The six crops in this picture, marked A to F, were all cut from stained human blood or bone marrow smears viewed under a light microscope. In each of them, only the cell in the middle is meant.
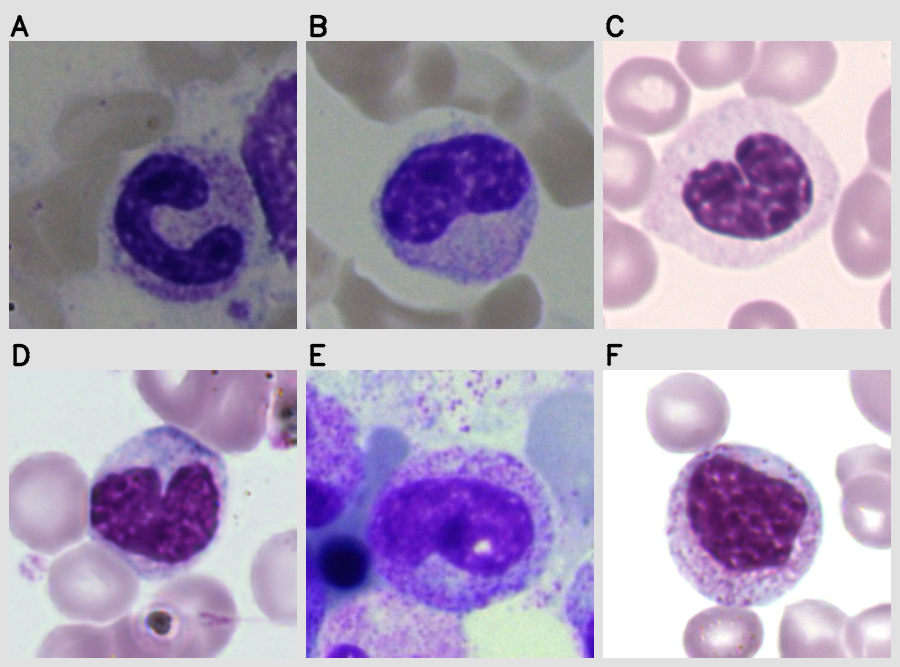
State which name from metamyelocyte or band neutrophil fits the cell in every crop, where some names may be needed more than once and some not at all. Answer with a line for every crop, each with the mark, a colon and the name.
A: band neutrophil
B: metamyelocyte
C: band neutrophil
D: band neutrophil
E: metamyelocyte
F: metamyelocyte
